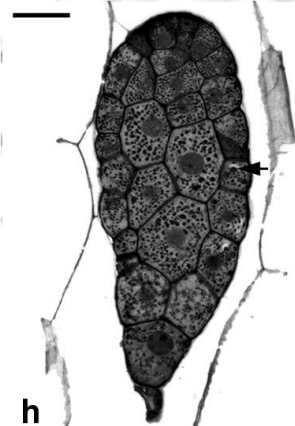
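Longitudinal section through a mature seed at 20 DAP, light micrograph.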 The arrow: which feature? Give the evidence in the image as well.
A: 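The embryo cells are filled with many tiny dark dots. Small clear spaces lie between the dots.
Protein bodies.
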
